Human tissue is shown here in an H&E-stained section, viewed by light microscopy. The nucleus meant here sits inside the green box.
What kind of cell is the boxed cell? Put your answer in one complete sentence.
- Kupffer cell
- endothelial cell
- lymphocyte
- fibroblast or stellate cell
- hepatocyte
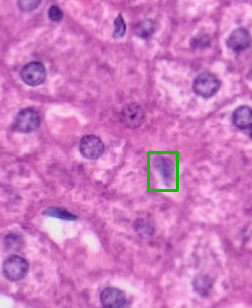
This is an endothelial cell.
